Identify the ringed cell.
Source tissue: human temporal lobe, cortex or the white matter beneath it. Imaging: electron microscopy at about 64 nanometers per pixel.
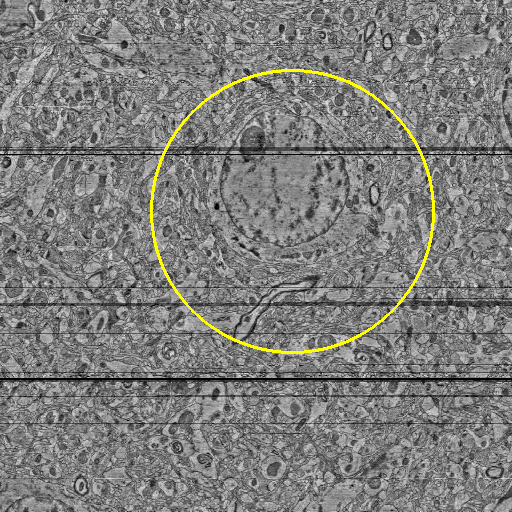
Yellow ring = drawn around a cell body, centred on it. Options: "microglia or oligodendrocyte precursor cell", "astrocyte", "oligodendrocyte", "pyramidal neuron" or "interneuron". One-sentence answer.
What the ring is centred on is a pyramidal neuron.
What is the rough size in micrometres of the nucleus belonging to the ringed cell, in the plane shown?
About 9 micrometres across in this plane, for the nucleus.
